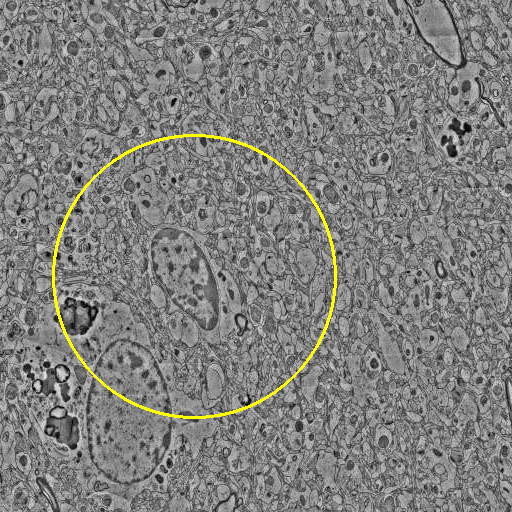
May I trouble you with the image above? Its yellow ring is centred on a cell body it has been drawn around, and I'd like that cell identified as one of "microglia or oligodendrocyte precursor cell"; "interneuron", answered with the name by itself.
microglia or oligodendrocyte precursor cell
